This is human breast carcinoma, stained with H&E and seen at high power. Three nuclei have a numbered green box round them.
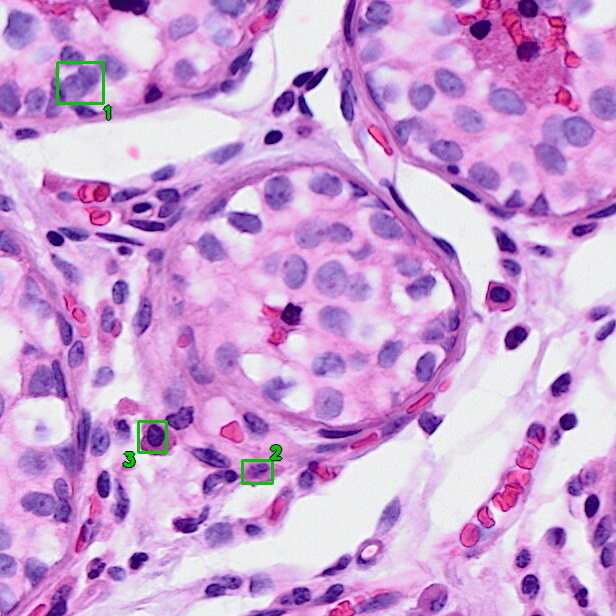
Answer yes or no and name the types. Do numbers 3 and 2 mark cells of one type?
Yes, both are mast cells.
